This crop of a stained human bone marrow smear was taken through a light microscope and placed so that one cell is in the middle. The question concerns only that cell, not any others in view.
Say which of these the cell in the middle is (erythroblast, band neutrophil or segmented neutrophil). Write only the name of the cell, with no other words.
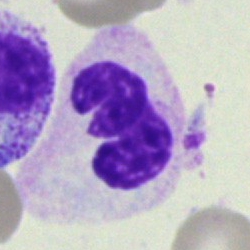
segmented neutrophil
